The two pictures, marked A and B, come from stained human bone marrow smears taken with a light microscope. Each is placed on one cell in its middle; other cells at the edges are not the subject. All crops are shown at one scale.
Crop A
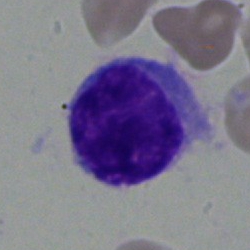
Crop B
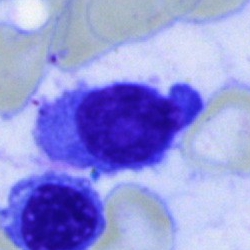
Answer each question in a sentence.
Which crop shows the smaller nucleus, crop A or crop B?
Smaller is the nucleus in crop B, and the other is about 1.5 times as large in area.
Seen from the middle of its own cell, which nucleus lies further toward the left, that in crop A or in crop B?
In crop A the nucleus is shifted more toward the left.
